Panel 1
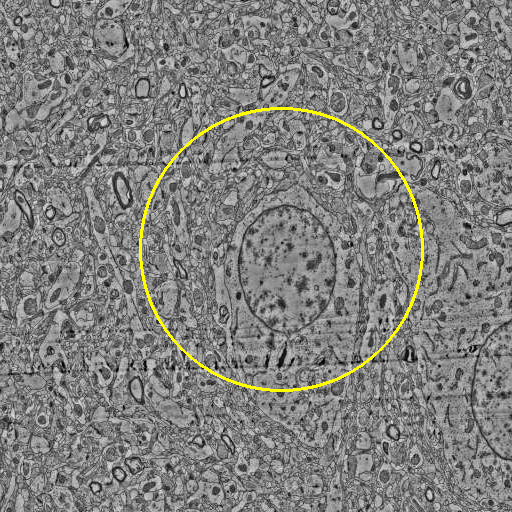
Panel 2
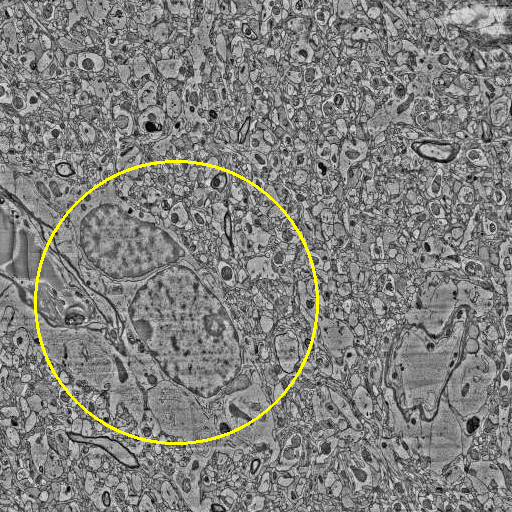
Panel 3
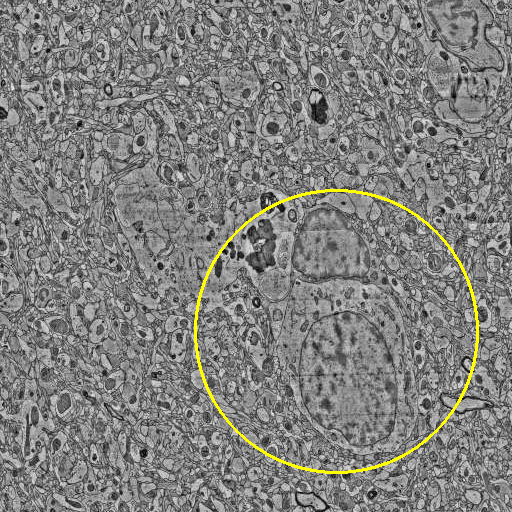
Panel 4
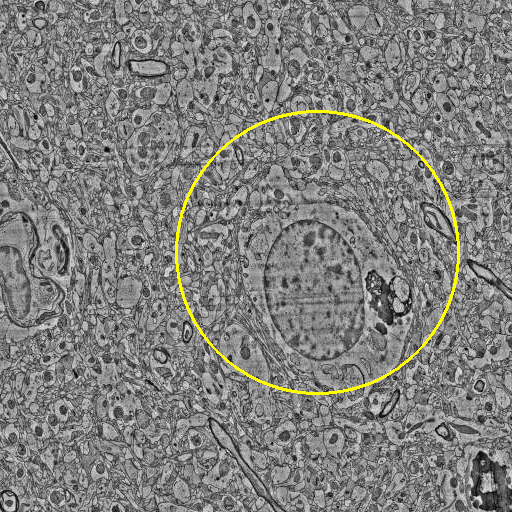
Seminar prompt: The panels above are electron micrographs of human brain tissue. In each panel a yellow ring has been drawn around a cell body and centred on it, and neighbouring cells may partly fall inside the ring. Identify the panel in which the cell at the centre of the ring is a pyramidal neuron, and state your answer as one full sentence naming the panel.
Panel 1 has it at the centre of its ring.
